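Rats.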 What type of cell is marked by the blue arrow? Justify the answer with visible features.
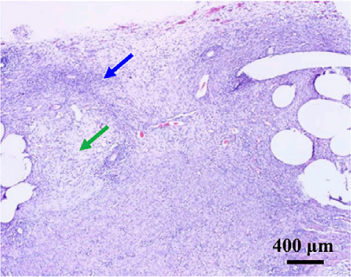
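Dense sheet of small dark purple nuclei. Little pink matrix between the crowded nuclei. On this evidence: inflammatory cells.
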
